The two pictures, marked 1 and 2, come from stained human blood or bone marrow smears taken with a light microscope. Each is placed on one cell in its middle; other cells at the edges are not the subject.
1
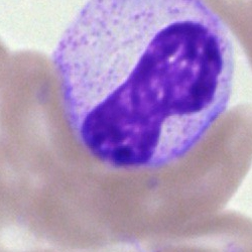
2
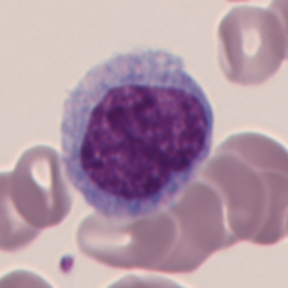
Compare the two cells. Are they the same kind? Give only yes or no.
no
